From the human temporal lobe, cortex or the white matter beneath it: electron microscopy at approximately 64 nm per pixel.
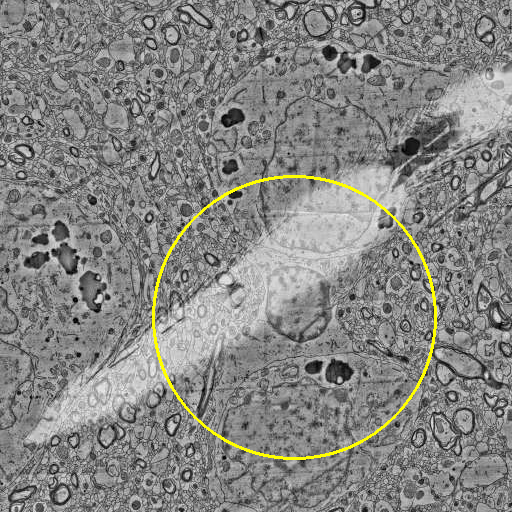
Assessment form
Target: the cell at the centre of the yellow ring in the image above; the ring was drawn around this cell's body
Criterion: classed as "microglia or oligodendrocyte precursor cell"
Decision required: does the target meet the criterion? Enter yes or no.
yes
